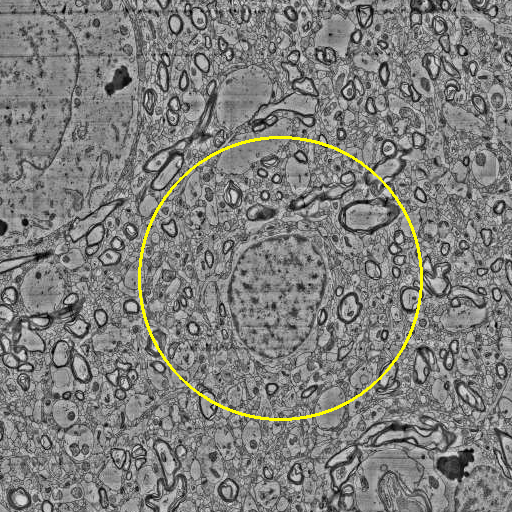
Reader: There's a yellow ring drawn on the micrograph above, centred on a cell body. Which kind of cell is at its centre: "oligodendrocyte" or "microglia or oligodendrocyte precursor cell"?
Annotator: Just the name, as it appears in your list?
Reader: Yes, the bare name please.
microglia or oligodendrocyte precursor cell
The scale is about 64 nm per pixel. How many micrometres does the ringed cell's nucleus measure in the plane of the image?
The nucleus comes to roughly 8 by 6 micrometres in this plane.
